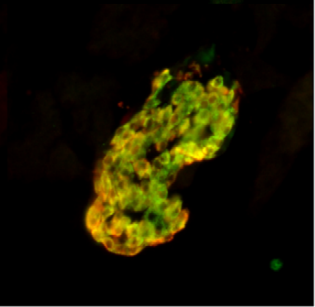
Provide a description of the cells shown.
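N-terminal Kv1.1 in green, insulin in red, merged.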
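A pancreatic islet made of tightly packed polygonal endocrine cells forming an elongated, lobulated cluster. Green and red overlap across almost all of the cells, giving a strong yellow colour. A few cells at the edges appear more purely red or green.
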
